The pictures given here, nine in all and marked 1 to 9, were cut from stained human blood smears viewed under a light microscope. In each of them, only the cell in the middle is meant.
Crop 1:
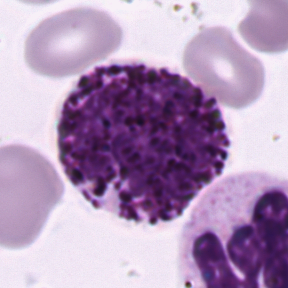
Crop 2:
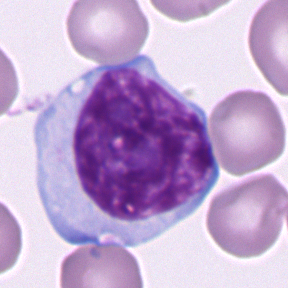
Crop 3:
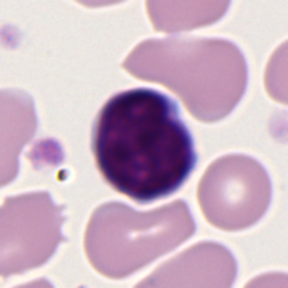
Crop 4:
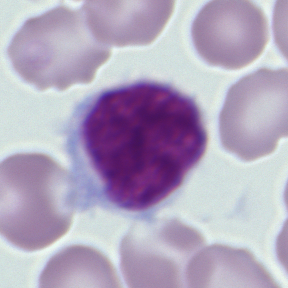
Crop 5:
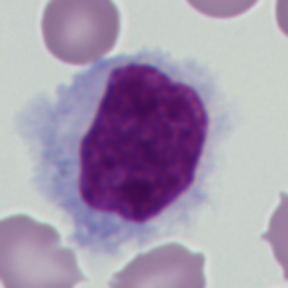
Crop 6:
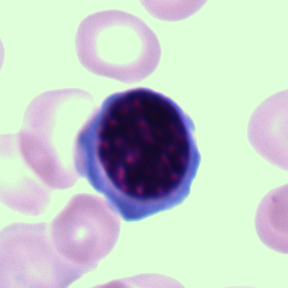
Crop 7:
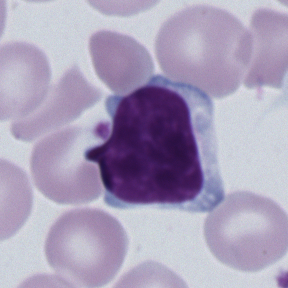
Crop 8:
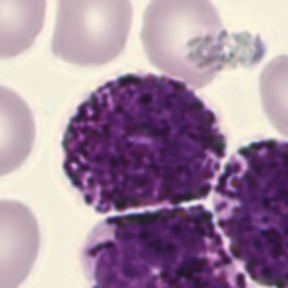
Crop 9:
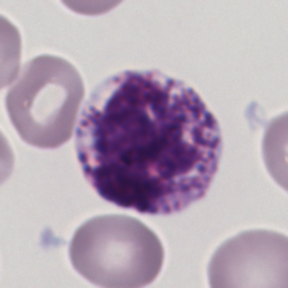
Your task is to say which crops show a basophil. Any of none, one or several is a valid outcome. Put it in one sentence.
With regard to crops 1, 8 and 9, the central cells are basophils.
